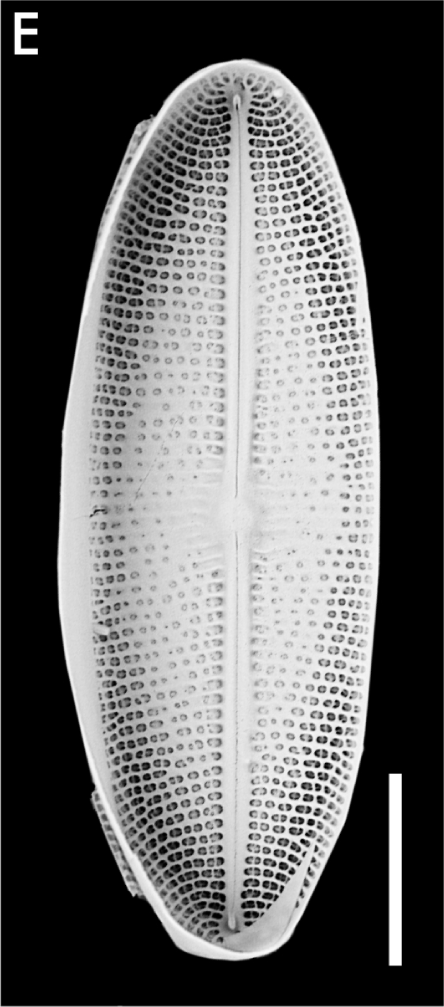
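This is a single pennate diatom valve, elongate and elliptical with broadly rounded ends. A straight raphe runs down the middle along the long axis, interrupted by a small smooth central area. A raised rim frames the valve, and the view looks into the curved valve face, giving it a shallow dish-like appearance.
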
